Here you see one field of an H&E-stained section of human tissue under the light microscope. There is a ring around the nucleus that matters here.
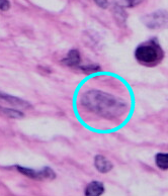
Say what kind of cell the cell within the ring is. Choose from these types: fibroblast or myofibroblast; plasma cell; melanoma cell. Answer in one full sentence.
For the purposes of cell typing, the cell within the ring is categorized as a fibroblast or myofibroblast.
